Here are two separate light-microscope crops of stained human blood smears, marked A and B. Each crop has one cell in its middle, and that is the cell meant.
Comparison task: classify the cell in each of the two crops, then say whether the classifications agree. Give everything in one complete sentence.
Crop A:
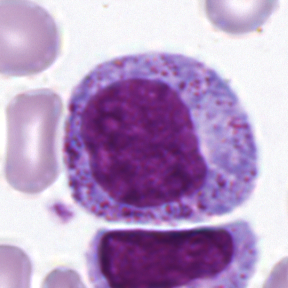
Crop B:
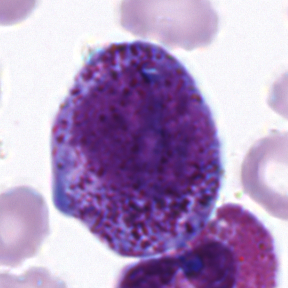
Yes, the crops both have promyelocytes in the middle.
